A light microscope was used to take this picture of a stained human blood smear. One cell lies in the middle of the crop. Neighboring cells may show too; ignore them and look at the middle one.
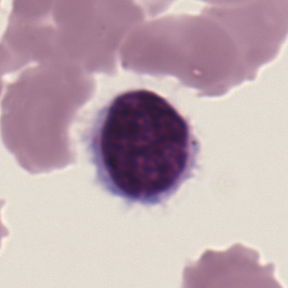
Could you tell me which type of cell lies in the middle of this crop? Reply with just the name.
hairy cell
